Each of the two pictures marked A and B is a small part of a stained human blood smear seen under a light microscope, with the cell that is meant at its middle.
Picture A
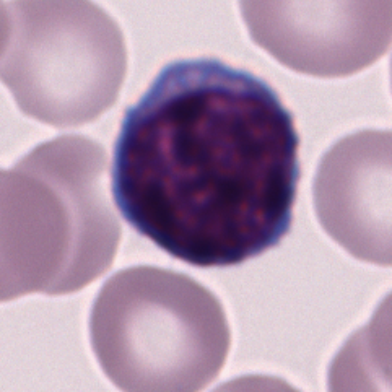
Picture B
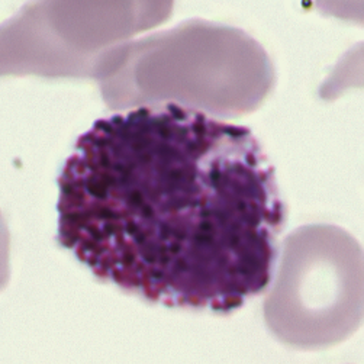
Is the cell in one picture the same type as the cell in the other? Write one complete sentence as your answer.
No, the types are not the same, since picture A shows a typical lymphocyte and picture B a basophil.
